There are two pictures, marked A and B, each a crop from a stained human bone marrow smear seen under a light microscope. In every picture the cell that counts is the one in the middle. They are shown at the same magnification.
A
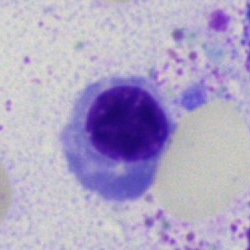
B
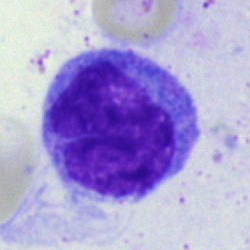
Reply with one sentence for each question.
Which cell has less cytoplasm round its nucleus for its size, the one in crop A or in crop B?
The nucleus fills more of the cell in crop B than in crop A.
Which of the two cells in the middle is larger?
The cell in crop B is larger, with about 2 times the area of the one in crop A.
